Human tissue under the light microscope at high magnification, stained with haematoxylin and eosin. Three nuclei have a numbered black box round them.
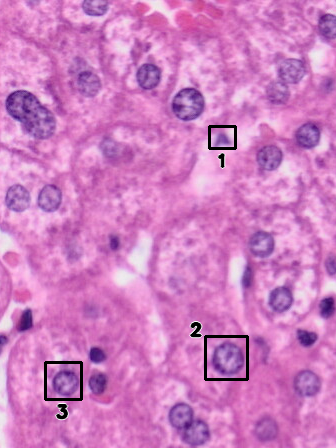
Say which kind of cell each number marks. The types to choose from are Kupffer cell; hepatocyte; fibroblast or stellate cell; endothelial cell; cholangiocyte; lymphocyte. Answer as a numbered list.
1. endothelial cell
2. hepatocyte
3. hepatocyte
